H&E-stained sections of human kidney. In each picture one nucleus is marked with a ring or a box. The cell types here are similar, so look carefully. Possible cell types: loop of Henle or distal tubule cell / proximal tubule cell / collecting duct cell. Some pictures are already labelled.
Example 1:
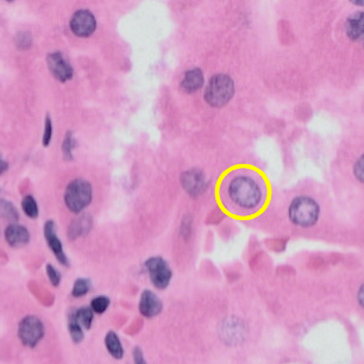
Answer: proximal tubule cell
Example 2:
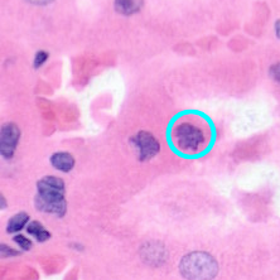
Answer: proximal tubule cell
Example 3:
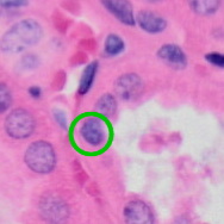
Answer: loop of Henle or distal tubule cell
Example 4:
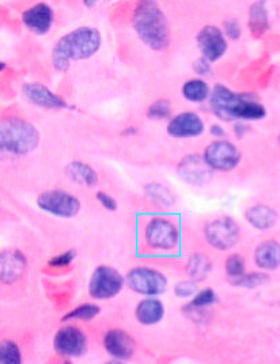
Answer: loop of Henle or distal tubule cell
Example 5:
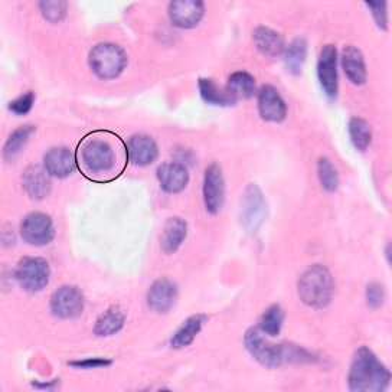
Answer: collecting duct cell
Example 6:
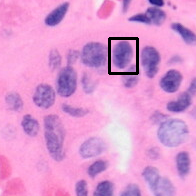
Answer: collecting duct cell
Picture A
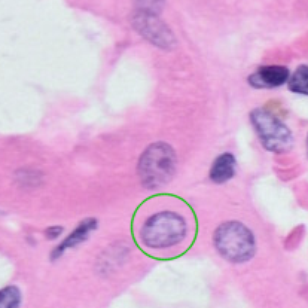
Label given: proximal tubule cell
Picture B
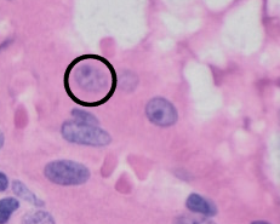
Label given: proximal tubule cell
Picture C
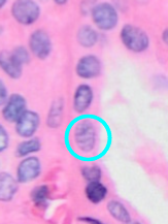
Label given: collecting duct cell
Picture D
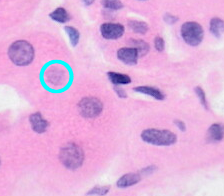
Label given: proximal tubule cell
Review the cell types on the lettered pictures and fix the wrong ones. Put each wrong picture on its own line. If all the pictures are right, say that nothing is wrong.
None of the labels needs changing.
